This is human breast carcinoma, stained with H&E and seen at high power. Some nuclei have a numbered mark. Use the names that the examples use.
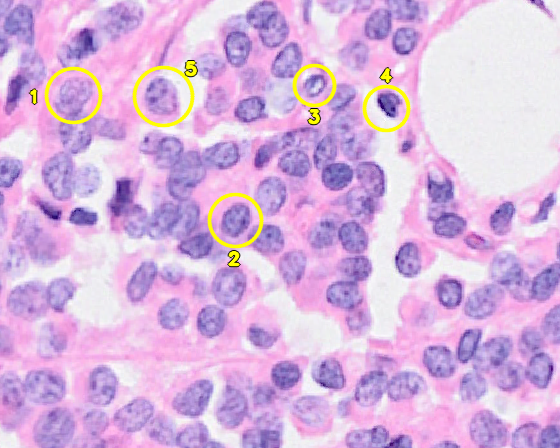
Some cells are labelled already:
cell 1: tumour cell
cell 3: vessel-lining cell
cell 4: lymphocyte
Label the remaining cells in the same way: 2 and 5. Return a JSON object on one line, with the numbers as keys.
{"2": "tumour cell", "5": "tumour cell"}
